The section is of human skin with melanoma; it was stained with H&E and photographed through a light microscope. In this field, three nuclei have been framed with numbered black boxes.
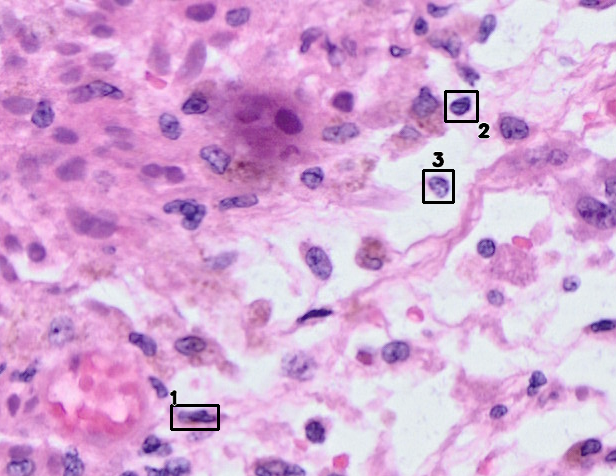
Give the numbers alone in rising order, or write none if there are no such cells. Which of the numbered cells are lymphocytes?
2, 3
